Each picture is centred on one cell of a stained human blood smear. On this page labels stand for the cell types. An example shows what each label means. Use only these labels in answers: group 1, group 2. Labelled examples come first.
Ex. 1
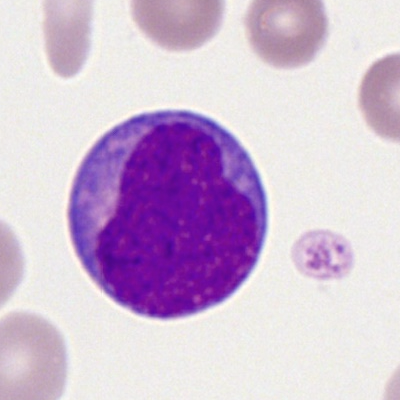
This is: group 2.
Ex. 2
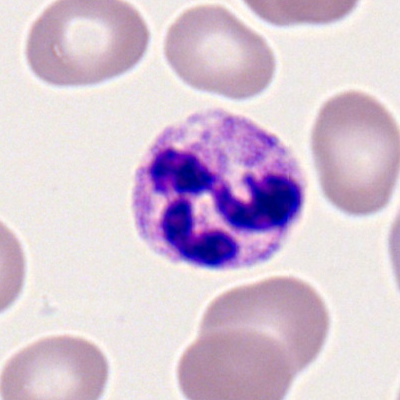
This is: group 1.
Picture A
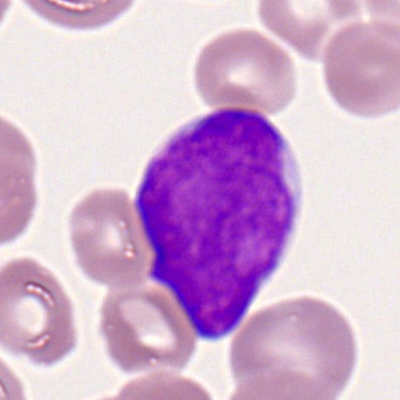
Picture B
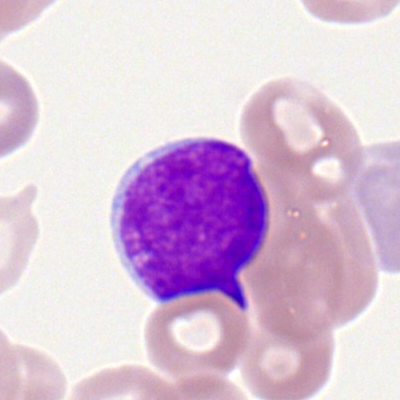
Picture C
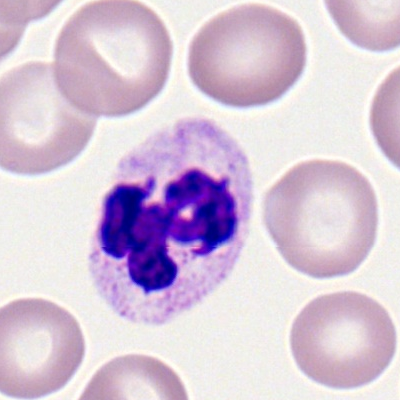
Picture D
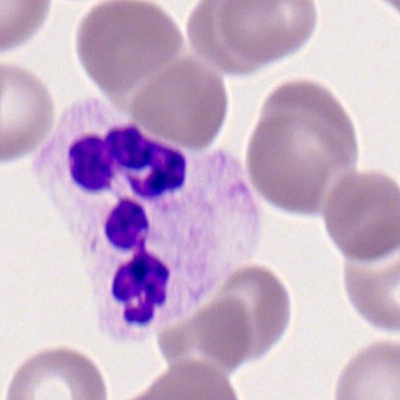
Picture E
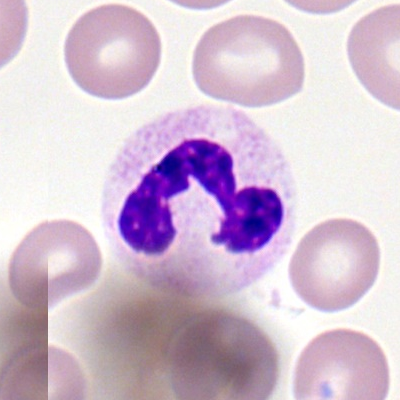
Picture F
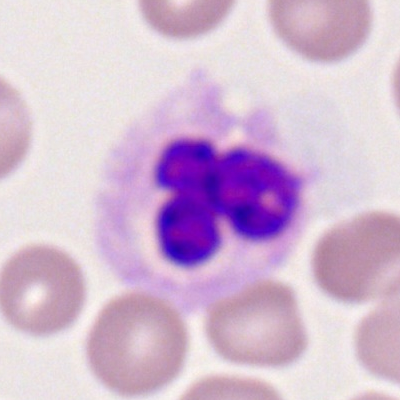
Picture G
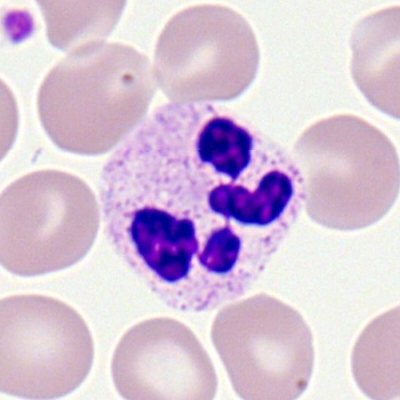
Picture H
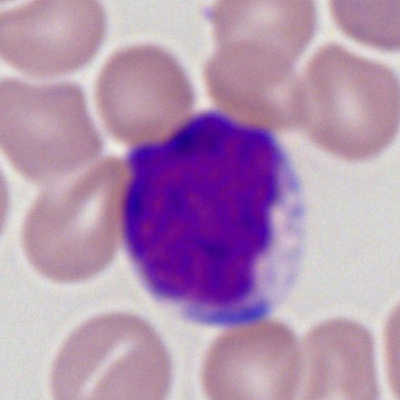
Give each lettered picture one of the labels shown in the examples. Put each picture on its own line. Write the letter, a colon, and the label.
A: group 2.
B: group 2.
C: group 1.
D: group 1.
E: group 1.
F: group 1.
G: group 1.
H: group 2.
